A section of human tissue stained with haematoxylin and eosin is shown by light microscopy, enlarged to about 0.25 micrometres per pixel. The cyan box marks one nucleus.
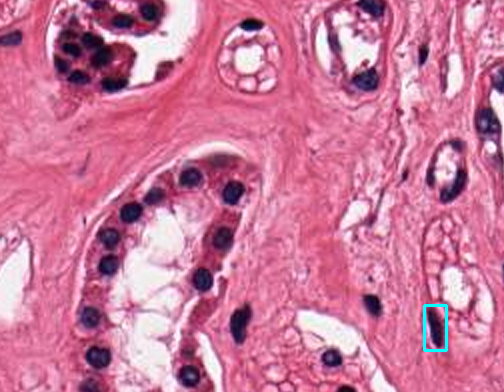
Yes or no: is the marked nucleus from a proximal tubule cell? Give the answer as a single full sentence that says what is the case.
No, the marked nucleus forms part of a supporting cell instead of a proximal tubule cell.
